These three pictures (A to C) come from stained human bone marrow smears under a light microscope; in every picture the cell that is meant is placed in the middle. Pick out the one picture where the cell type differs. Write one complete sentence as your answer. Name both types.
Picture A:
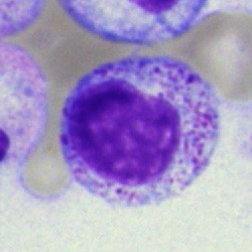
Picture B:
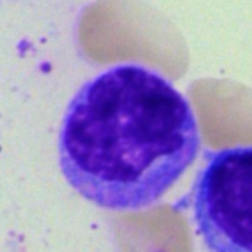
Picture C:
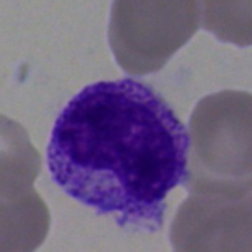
All pictures except B show myelocytes; picture B shows a monocyte.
